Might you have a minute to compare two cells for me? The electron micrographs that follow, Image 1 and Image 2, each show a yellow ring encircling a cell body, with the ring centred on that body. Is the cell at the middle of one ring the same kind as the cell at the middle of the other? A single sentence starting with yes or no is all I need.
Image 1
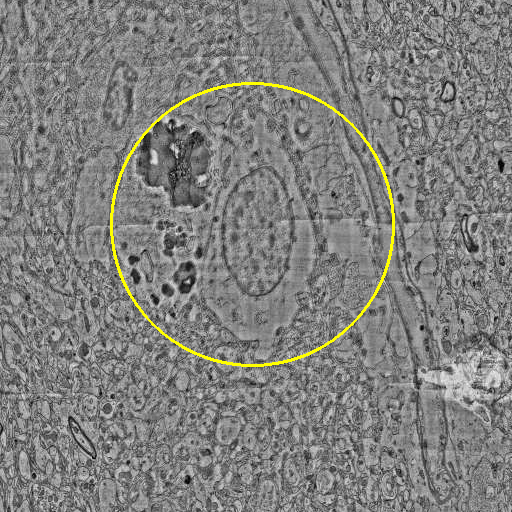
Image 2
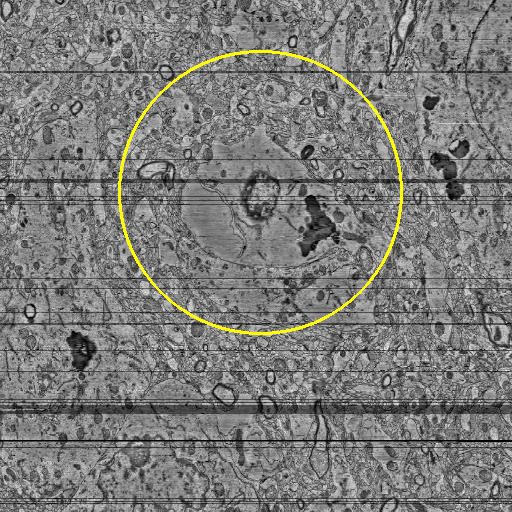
Yes, the cells in the middle of the two rings are of one shared kind.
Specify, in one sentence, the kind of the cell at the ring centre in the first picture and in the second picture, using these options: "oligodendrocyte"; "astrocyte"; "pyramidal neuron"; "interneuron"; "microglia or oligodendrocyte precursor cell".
The cell in the first picture is an astrocyte, and so is the one in the second.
